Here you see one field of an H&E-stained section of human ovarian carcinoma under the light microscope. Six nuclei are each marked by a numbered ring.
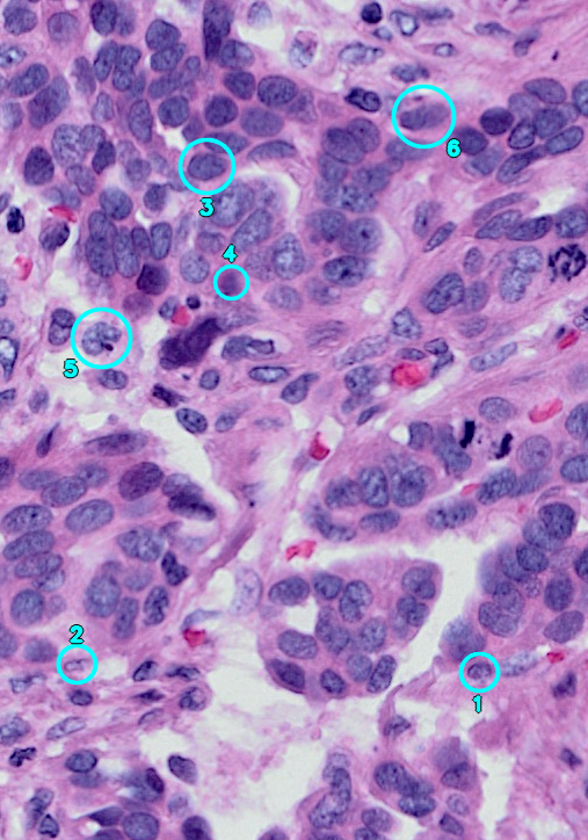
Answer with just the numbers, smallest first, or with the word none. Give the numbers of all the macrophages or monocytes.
1, 5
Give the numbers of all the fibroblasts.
2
